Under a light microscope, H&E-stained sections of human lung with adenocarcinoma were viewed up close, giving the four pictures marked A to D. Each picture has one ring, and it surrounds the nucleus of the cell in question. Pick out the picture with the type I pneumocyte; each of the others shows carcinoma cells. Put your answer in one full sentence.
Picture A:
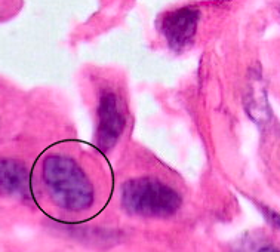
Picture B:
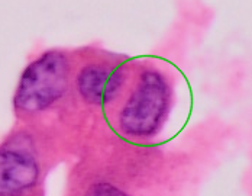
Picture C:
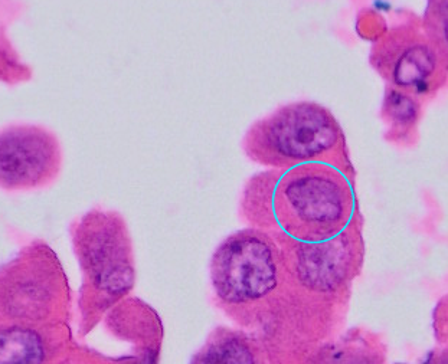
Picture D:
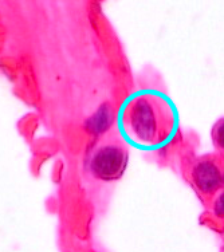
Picture D shows the type I pneumocyte.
